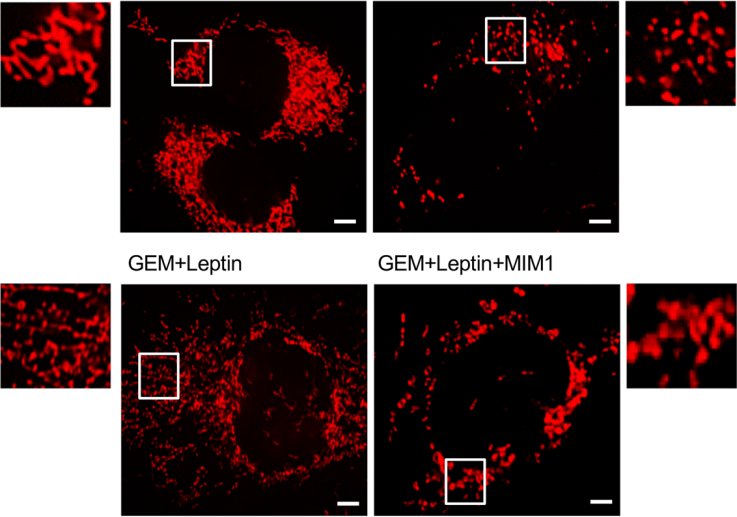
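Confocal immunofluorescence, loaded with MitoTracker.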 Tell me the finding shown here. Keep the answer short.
Mitochondrial fission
